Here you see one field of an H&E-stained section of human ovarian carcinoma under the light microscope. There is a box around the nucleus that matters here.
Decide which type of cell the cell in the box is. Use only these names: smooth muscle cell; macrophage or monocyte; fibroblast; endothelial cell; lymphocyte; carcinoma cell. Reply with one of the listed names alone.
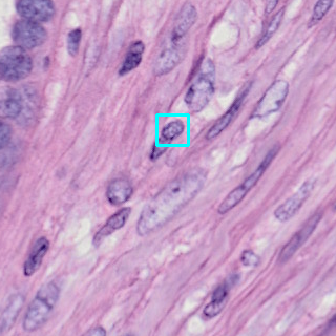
macrophage or monocyte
